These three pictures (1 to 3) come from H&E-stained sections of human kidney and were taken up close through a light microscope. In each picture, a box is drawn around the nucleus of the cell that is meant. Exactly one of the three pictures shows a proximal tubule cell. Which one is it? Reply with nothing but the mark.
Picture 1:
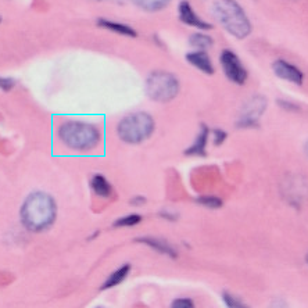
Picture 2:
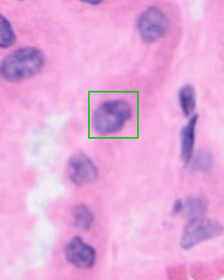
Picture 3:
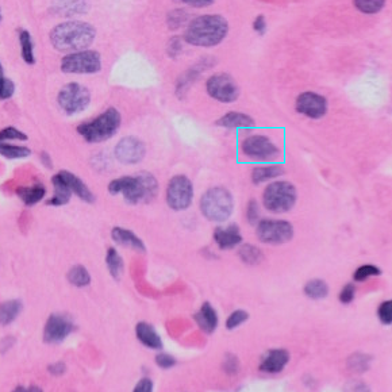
2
